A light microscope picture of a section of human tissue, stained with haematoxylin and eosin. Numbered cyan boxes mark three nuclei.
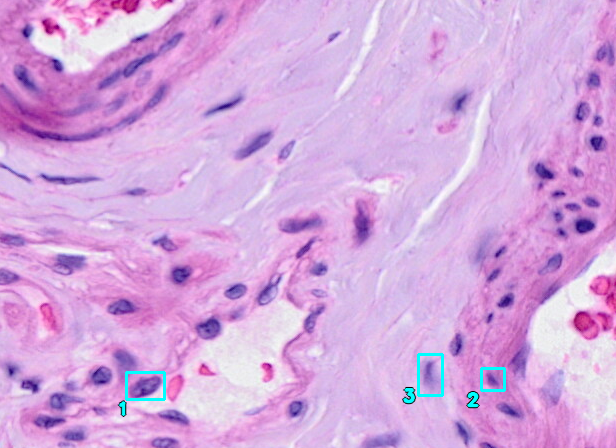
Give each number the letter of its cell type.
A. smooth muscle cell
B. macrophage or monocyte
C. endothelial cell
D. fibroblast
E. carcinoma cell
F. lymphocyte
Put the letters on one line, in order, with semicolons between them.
C; A; D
